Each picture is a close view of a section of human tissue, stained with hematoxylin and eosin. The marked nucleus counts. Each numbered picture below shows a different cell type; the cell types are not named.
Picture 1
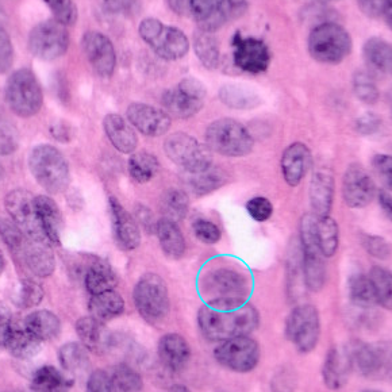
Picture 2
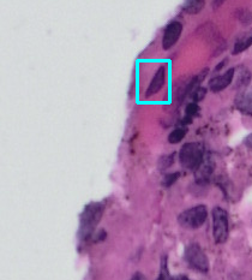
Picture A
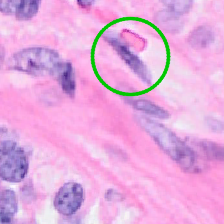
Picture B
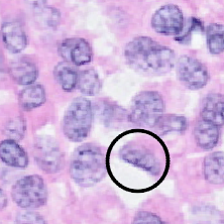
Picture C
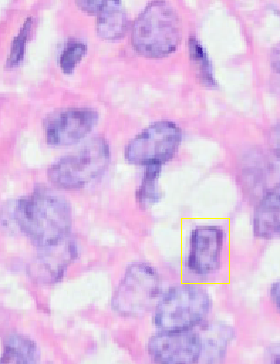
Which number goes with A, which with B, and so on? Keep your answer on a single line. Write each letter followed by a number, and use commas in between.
A 2, B 1, C 1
